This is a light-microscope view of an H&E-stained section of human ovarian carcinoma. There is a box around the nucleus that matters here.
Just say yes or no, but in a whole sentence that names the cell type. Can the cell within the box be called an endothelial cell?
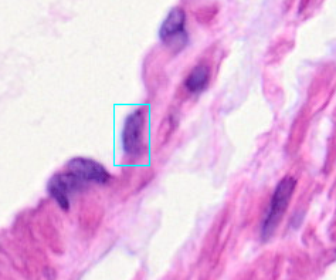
Yes, the cell within the box has been classified as an endothelial cell.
